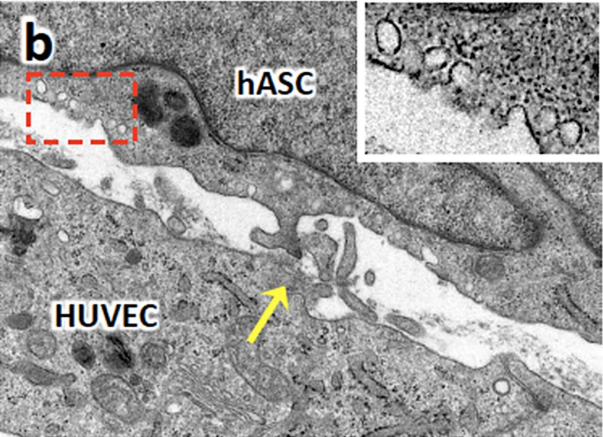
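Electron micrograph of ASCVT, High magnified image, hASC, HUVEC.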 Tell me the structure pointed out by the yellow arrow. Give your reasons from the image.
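Peg-socket structure. Finger-like cytoplasmic projections cross the narrow gap between the two cells at the yellow arrow.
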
